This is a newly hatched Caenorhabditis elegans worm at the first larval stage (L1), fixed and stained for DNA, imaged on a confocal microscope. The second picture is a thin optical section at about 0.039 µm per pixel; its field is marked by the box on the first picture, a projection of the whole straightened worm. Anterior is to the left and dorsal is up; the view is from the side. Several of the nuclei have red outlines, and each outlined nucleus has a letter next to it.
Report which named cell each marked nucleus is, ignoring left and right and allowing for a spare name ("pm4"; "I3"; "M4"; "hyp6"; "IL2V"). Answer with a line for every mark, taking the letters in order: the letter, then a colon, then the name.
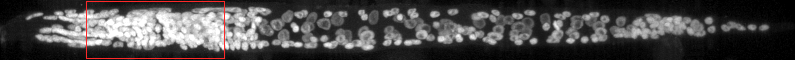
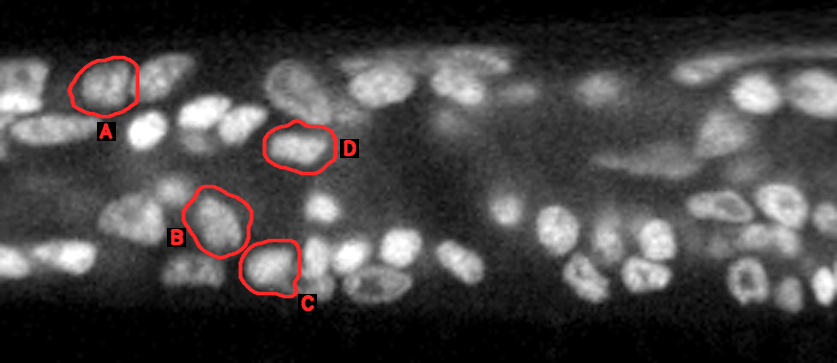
A: hyp6
B: pm4
C: IL2V
D: M4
